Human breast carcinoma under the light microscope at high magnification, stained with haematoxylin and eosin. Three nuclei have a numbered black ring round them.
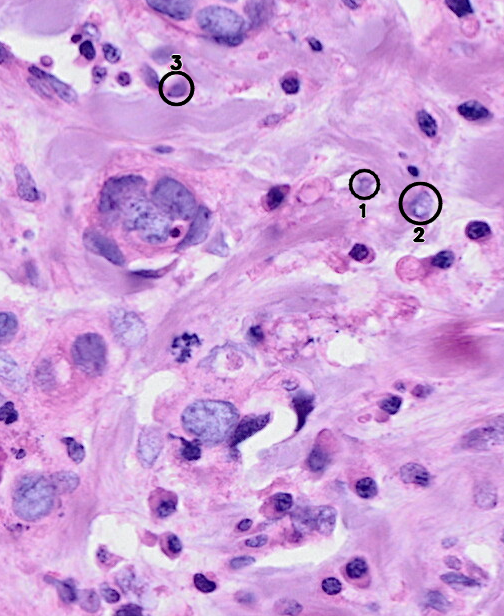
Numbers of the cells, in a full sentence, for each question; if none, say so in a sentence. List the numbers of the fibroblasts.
The cells tagged with numbers 1 and 2 are fibroblasts.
